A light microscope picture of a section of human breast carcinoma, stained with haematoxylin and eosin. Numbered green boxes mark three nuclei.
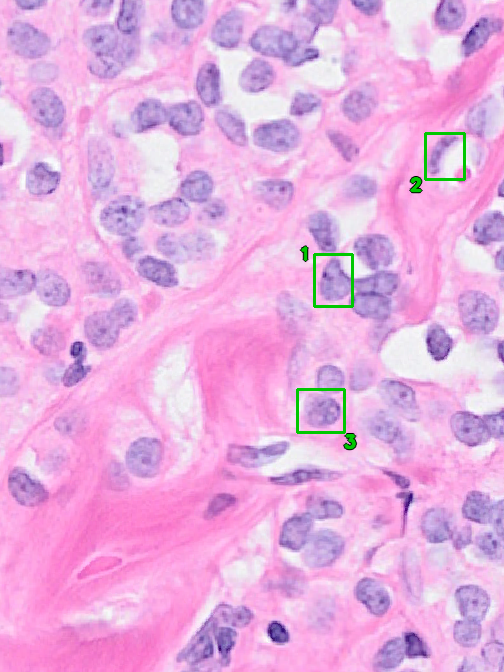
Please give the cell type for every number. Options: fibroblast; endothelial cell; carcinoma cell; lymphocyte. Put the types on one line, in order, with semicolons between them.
carcinoma cell; endothelial cell; carcinoma cell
